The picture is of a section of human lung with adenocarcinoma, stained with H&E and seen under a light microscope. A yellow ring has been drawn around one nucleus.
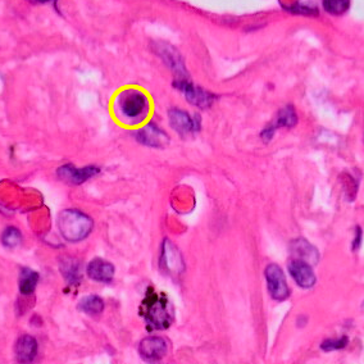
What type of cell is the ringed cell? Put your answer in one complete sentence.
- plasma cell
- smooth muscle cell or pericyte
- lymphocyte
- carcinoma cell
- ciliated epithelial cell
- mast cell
The cell type of the ringed cell is that of a plasma cell.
